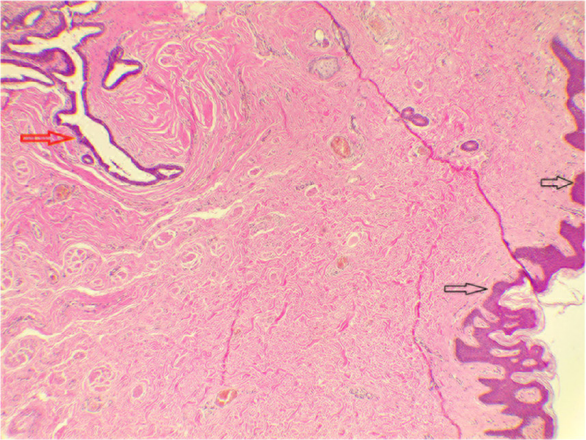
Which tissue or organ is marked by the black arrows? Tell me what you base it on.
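The arrows point to a dark purple stratified epithelial layer at the right edge of the tissue. The layer has an undulating lower border with downward projections into the pink connective tissue.
Hence: epidermis.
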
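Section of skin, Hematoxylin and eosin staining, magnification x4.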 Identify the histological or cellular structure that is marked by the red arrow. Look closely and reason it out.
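Lactiferous duct. The arrow points to a branching lumen lined by a thin purple epithelium. The lumen lies within dense pink fibrous stroma below the surface epithelium.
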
